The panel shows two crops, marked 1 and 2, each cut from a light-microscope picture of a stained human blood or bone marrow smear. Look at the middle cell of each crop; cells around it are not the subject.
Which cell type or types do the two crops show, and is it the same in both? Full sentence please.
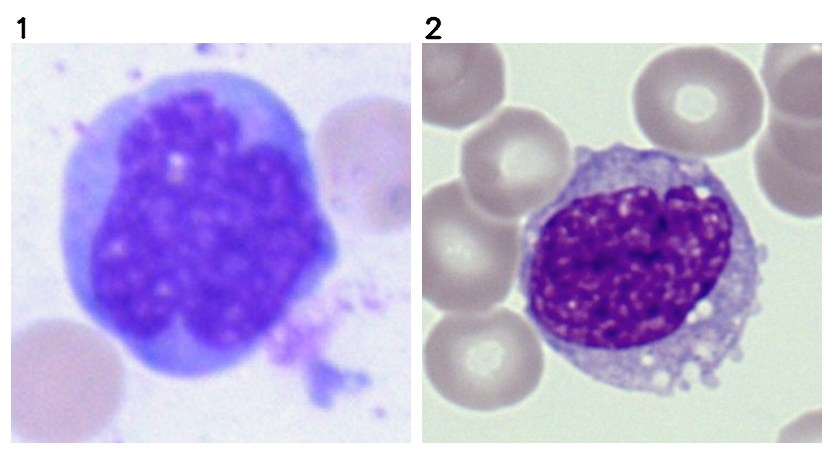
Yes, that is right, both crops show monocytes.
